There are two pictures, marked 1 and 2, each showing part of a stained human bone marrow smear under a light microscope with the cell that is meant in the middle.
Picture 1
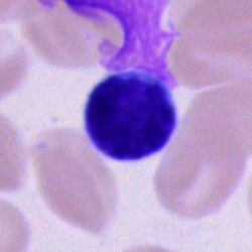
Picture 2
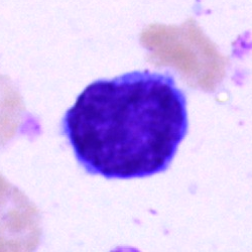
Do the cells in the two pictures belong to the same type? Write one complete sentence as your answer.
Yes, they are the same type: both are lymphocytes.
